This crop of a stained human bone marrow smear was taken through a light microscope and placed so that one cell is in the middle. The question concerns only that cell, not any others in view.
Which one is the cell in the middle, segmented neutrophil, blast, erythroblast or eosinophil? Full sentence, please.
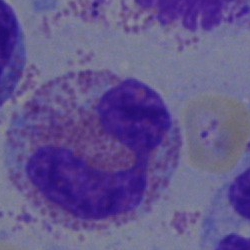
The cell found in the middle of this crop is an eosinophil.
